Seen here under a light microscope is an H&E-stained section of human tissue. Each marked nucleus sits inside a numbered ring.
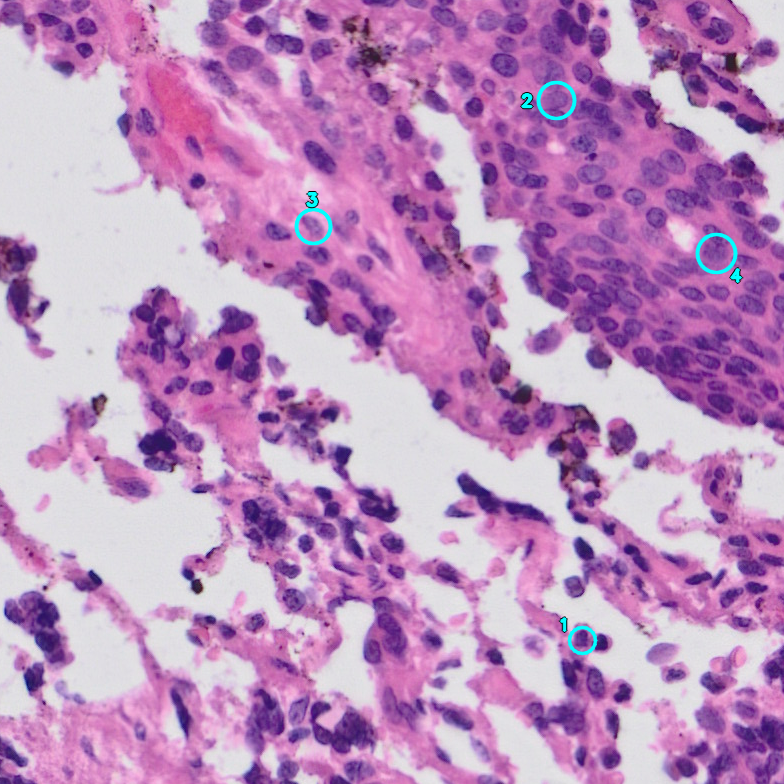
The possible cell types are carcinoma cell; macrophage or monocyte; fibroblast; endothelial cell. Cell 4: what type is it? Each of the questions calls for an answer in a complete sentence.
The cell referenced by the number 4 is a carcinoma cell in this field.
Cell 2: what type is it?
Nucleus 2 in this section belongs to a carcinoma cell.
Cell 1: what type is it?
Denoted by the label 1 in the section is a macrophage or monocyte.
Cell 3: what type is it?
The cell to which the number 3 is assigned is a macrophage or monocyte.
